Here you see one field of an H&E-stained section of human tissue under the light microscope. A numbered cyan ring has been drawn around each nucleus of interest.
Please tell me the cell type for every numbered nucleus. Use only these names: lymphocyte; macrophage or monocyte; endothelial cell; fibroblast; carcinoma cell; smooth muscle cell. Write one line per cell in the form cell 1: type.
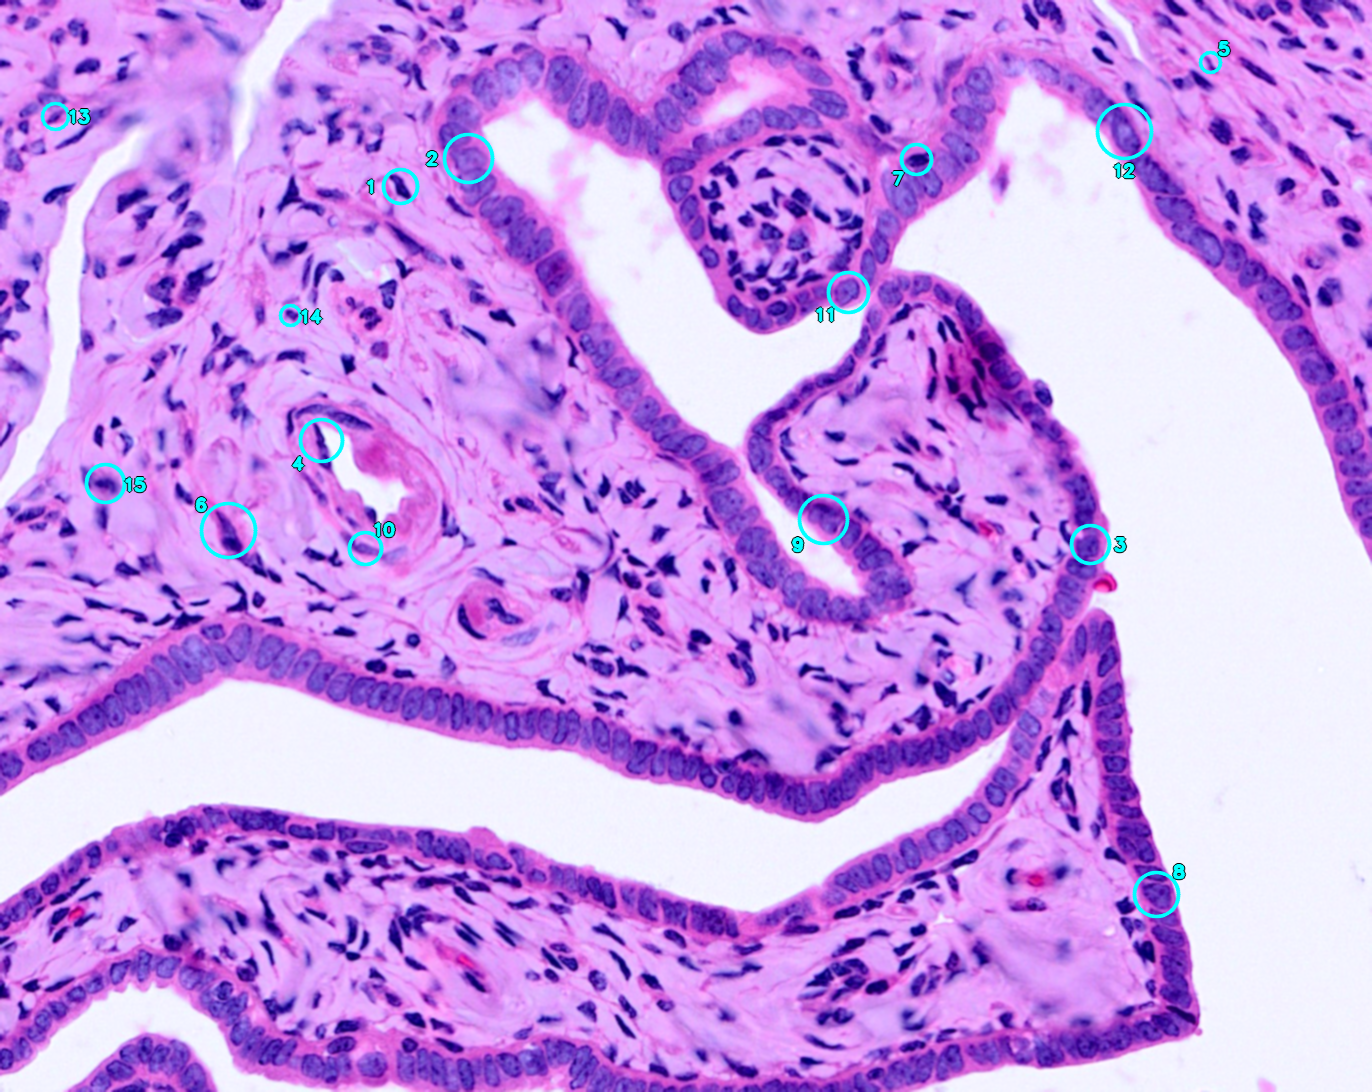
cell 1: fibroblast
cell 2: carcinoma cell
cell 3: carcinoma cell
cell 4: endothelial cell
cell 5: smooth muscle cell
cell 6: endothelial cell
cell 7: lymphocyte
cell 8: carcinoma cell
cell 9: carcinoma cell
cell 10: smooth muscle cell
cell 11: carcinoma cell
cell 12: carcinoma cell
cell 13: smooth muscle cell
cell 14: smooth muscle cell
cell 15: endothelial cell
